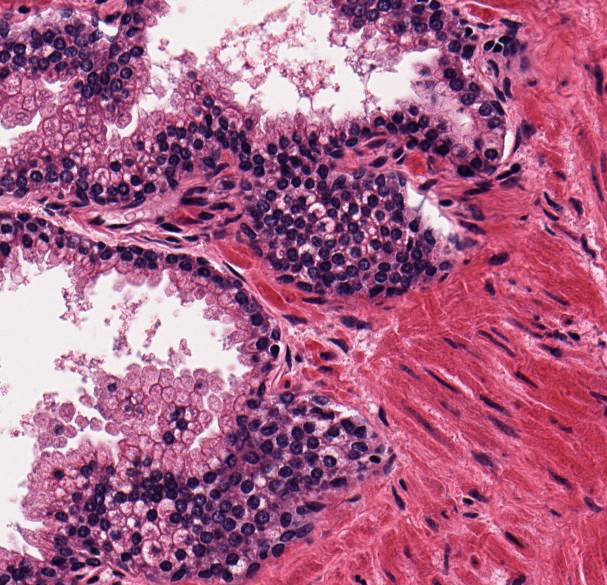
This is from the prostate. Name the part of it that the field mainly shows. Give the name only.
prostatic gland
